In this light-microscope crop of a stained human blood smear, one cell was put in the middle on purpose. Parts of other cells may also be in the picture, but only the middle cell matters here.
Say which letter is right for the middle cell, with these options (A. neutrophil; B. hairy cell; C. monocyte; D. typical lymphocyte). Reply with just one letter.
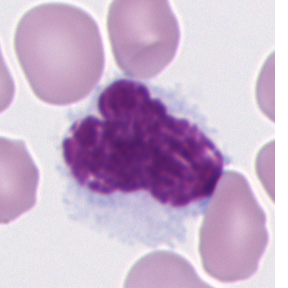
B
